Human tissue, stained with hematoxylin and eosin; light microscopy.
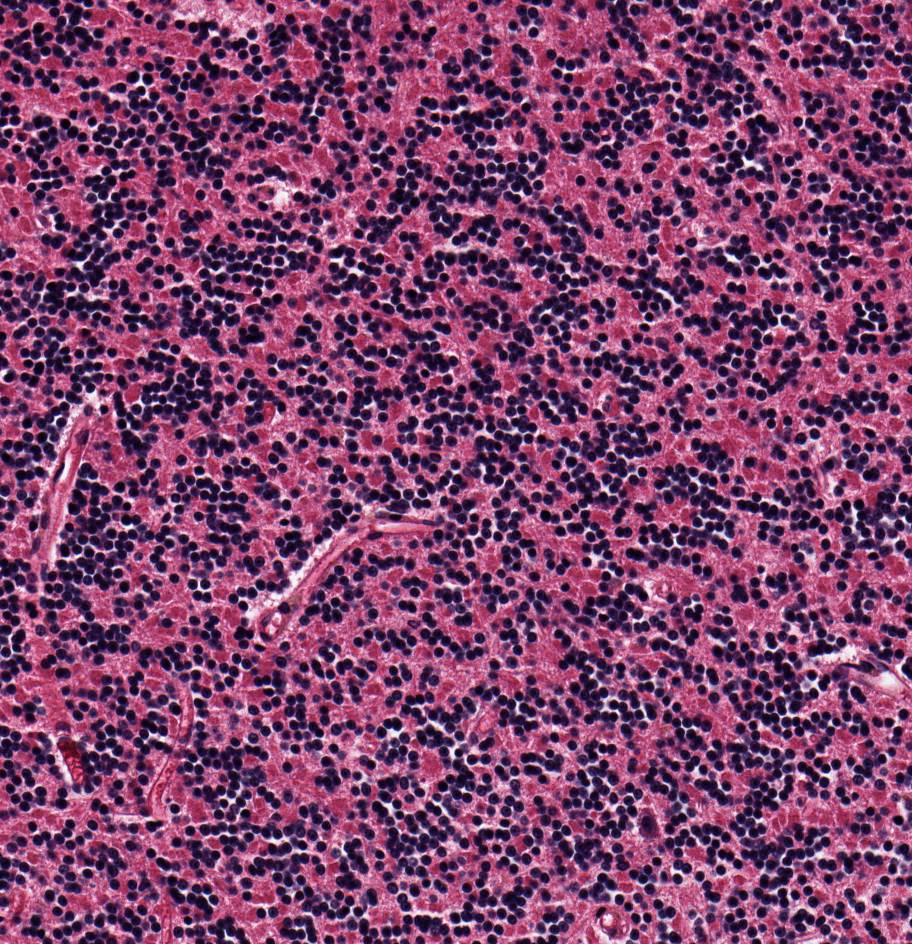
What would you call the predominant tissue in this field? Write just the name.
granular layer of the cerebellum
